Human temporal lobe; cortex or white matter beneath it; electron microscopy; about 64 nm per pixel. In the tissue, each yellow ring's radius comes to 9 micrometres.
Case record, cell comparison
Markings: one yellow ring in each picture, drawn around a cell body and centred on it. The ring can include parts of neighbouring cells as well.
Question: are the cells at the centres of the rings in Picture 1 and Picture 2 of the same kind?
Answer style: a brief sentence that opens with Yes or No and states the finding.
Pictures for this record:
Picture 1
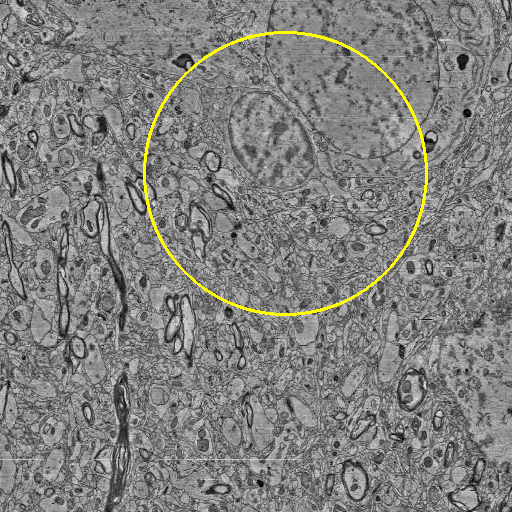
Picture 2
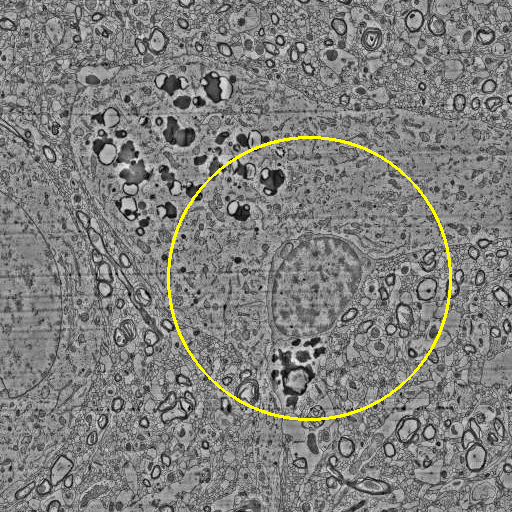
Yes, the cells in Picture 1 and Picture 2 are of the same kind.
